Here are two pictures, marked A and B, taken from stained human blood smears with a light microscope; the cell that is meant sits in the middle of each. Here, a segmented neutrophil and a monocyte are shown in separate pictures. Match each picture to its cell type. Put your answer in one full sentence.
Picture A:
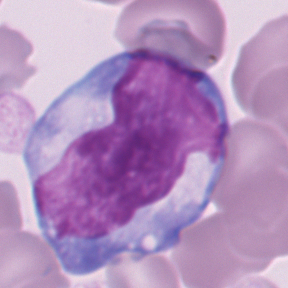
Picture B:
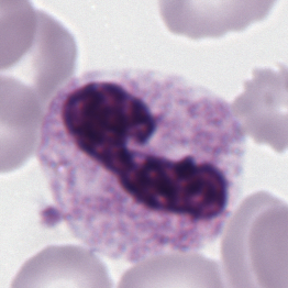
The cell in picture A is a monocyte, and the one in picture B is a segmented neutrophil.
